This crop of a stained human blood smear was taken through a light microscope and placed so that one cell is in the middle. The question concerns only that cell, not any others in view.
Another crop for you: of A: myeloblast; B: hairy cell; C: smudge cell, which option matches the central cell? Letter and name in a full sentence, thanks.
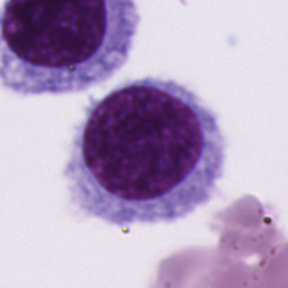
The correct option is B, as the central cell is a hairy cell.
